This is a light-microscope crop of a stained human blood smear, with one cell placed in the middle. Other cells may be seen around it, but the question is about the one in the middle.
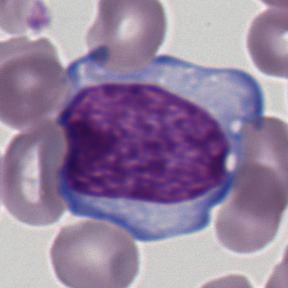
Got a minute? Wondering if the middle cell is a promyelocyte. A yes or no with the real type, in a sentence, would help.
No, rather than being a promyelocyte, the central cell is a myeloblast.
